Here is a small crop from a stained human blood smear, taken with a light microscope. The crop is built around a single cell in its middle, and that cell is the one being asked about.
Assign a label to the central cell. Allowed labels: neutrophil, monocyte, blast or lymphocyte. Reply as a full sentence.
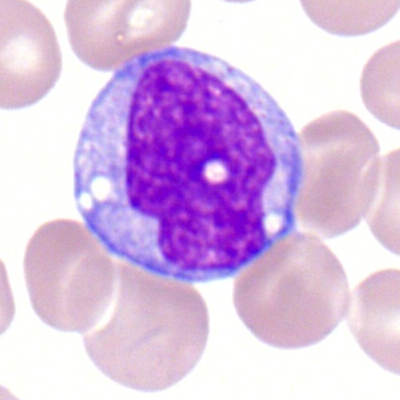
The crop's centre is taken up by a monocyte.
